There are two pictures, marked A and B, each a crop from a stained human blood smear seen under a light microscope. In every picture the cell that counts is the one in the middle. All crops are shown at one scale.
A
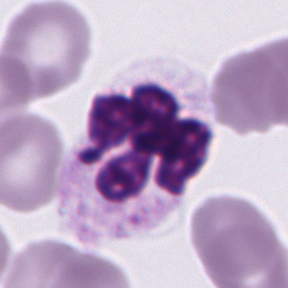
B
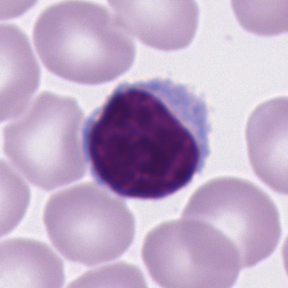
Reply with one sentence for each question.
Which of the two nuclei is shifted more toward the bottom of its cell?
Seen within its cell, the nucleus in crop B lies further toward the bottom.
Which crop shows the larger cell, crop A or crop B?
Larger is the cell in crop A, at roughly 1.5 times the area of the other.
